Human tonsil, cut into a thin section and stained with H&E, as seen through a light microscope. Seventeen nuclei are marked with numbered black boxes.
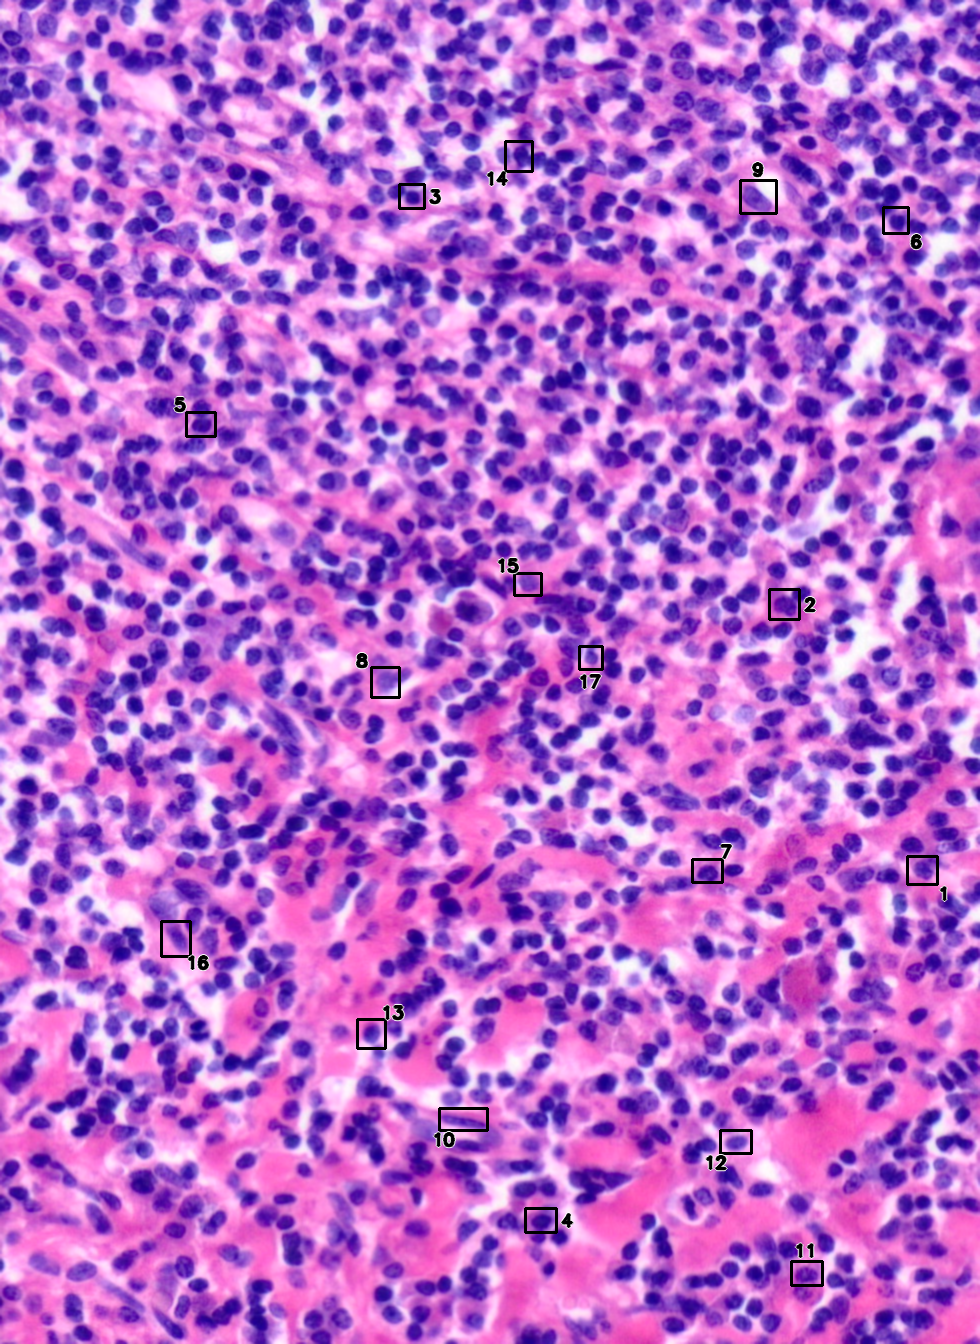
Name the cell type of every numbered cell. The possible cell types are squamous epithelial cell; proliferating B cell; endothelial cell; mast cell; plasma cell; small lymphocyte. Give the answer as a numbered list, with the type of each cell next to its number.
1. plasma cell
2. plasma cell
3. small lymphocyte
4. plasma cell
5. plasma cell
6. small lymphocyte
7. plasma cell
8. endothelial cell
9. endothelial cell
10. endothelial cell
11. plasma cell
12. mast cell
13. mast cell
14. small lymphocyte
15. endothelial cell
16. endothelial cell
17. small lymphocyte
